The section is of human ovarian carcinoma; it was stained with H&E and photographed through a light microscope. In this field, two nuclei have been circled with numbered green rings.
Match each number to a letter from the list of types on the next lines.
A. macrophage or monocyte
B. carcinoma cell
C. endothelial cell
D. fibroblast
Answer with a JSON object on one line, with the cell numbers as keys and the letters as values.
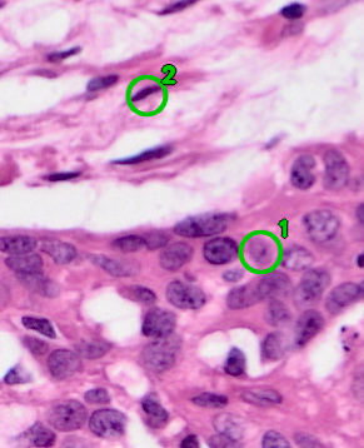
{"1": "B", "2": "D"}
